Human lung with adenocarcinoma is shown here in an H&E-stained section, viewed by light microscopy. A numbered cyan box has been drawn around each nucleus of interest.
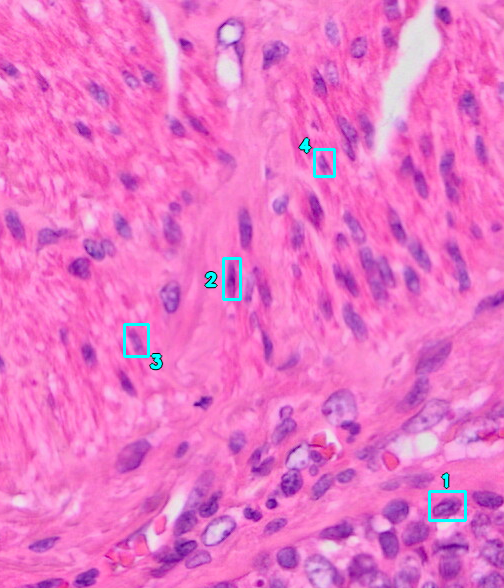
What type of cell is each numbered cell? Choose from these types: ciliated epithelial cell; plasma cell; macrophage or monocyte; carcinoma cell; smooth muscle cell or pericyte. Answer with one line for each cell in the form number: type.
1: ciliated epithelial cell
2: smooth muscle cell or pericyte
3: smooth muscle cell or pericyte
4: smooth muscle cell or pericyte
